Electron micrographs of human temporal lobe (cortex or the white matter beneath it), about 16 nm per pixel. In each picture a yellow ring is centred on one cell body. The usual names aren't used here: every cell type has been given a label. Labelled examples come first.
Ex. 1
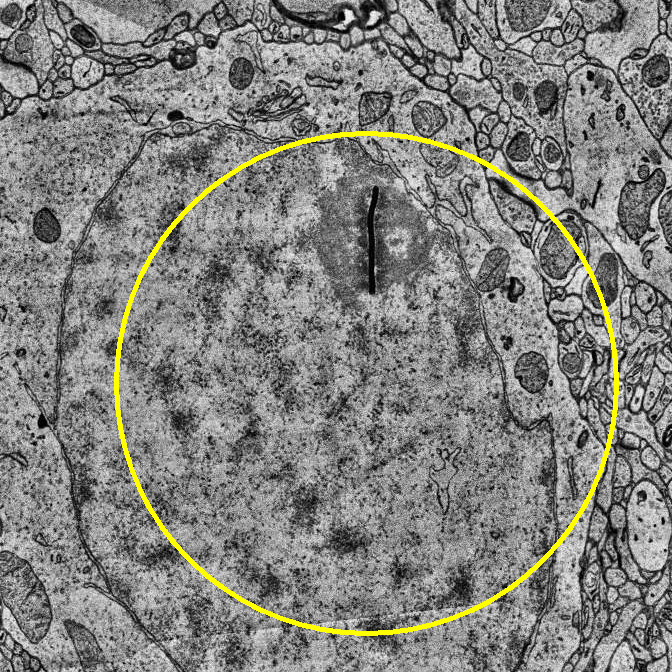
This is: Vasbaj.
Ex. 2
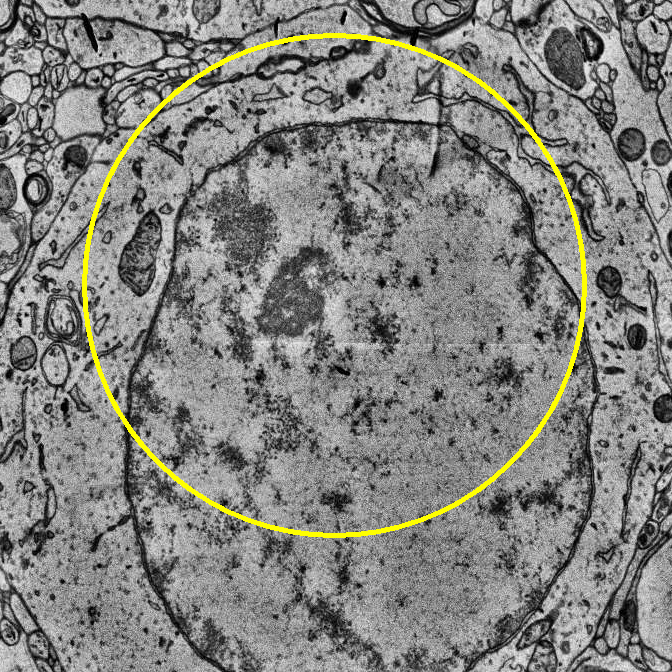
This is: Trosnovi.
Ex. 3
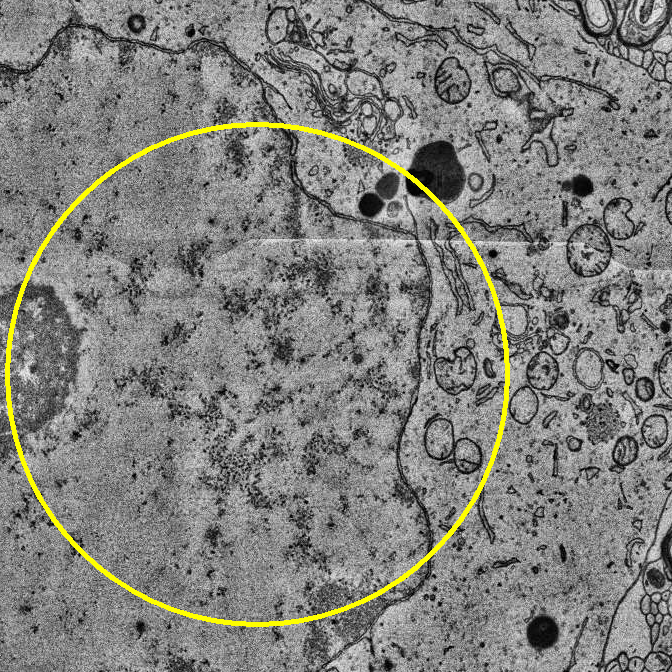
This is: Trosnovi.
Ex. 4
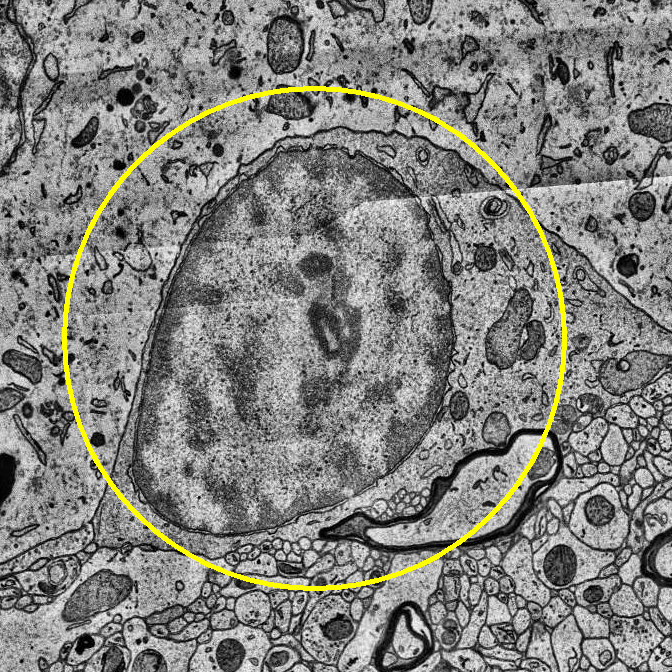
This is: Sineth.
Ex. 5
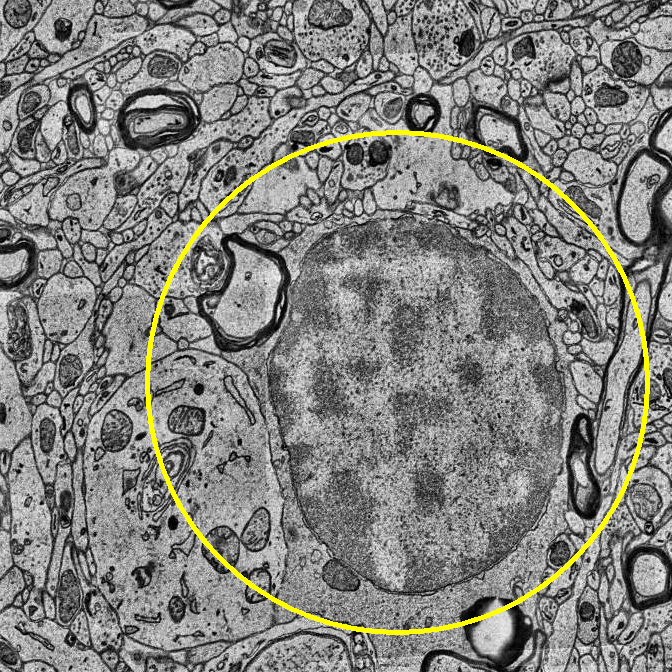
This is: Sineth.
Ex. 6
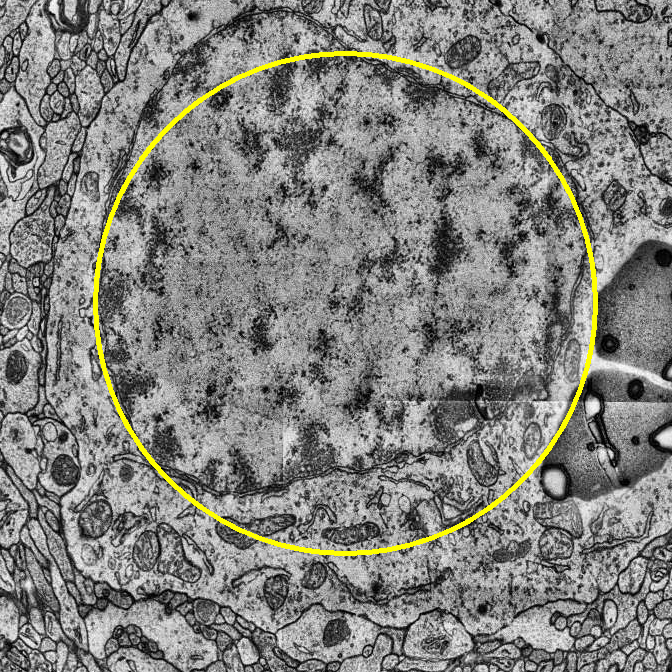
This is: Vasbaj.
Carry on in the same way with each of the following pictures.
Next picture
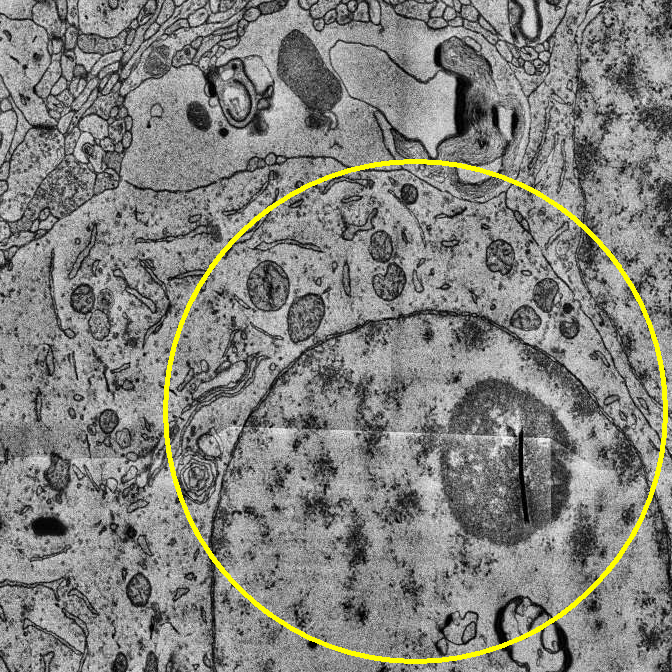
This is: Trosnovi.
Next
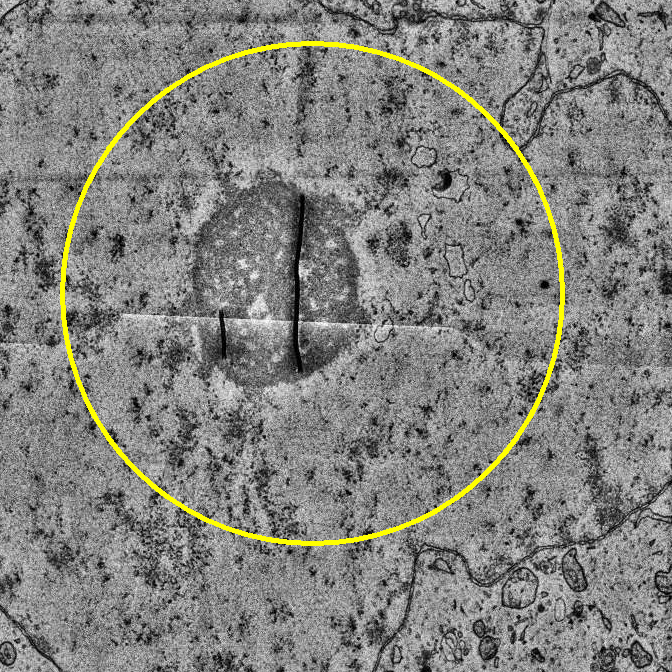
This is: Trosnovi.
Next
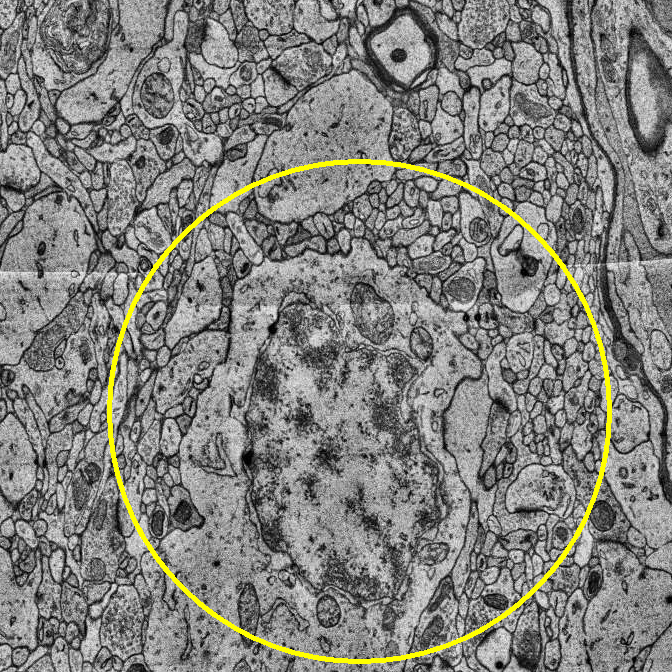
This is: Vasbaj.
